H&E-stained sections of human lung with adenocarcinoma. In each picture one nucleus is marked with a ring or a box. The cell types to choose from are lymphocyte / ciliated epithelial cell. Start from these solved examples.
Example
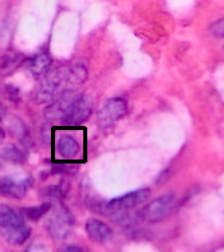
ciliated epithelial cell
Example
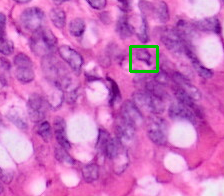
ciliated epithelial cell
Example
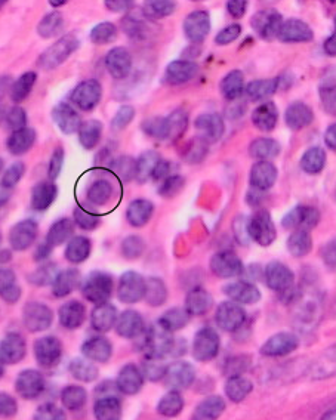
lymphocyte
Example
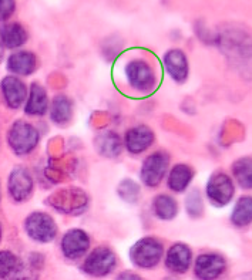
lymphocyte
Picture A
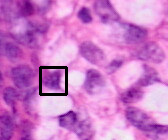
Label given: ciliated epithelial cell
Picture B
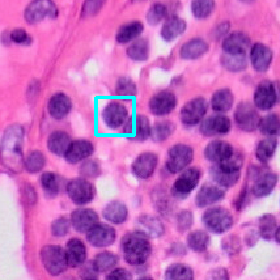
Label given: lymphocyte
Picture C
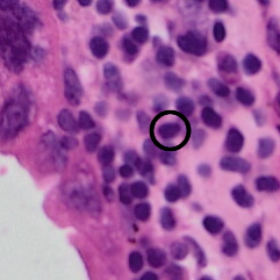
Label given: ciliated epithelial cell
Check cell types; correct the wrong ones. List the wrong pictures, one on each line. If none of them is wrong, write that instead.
C: lymphocyte, not ciliated epithelial cell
